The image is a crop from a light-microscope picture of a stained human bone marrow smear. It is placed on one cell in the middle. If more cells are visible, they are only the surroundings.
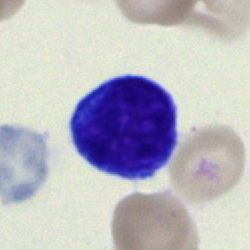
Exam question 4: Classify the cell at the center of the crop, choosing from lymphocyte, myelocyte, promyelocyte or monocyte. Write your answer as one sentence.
The cell sitting right in the middle is a lymphocyte.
